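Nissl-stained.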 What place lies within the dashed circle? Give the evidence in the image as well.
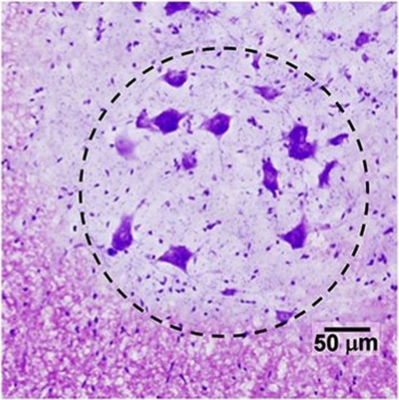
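The circle encloses a cluster of large multipolar neurons in grey matter. That points to this answer: ventral horn region.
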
